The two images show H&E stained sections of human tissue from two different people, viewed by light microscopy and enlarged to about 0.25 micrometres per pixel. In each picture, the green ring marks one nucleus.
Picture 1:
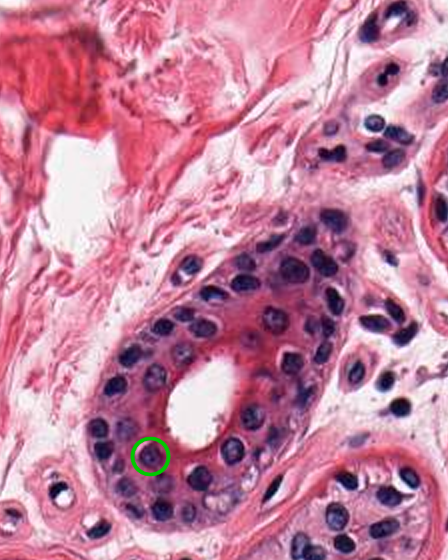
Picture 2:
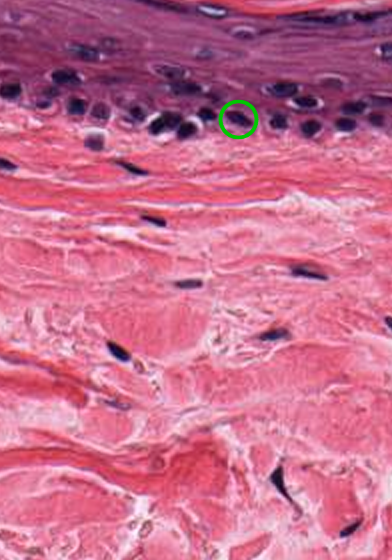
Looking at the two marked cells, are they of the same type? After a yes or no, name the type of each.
No, the first is a sweat gland cell and the second a keratinocyte.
